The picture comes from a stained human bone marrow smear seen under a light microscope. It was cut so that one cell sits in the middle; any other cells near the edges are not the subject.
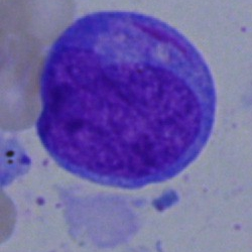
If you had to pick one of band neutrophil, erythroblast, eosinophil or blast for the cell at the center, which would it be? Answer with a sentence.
Here the centrally located cell is a blast.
